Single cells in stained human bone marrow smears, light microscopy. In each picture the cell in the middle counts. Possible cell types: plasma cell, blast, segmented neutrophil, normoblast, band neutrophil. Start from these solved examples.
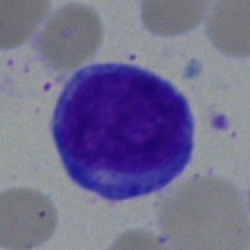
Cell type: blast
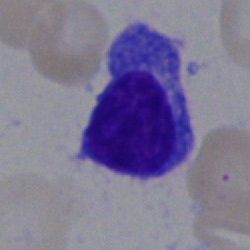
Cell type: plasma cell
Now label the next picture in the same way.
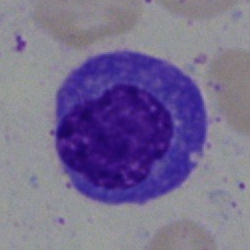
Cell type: plasma cell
